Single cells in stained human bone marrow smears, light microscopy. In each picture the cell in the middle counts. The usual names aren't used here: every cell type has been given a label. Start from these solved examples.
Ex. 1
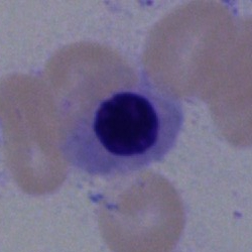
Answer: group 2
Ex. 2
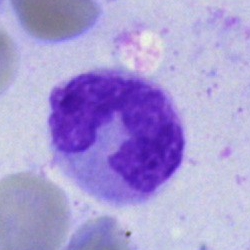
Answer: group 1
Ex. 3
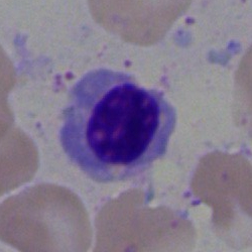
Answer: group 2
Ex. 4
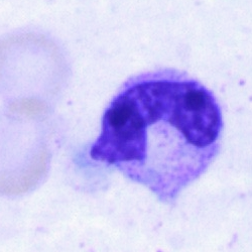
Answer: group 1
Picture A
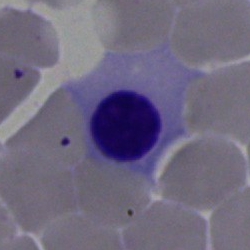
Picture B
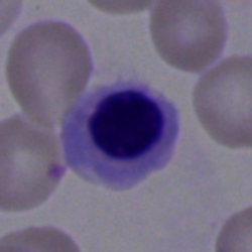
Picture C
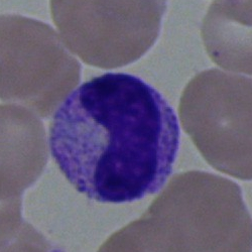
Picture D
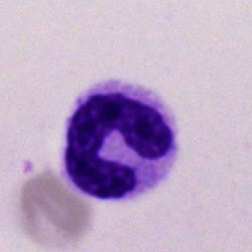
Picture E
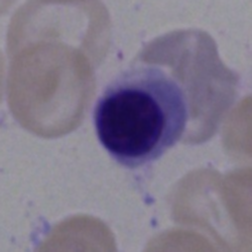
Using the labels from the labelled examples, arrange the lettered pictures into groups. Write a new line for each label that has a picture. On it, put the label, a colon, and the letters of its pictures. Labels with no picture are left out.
group 2: A, B, E
group 1: C, D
